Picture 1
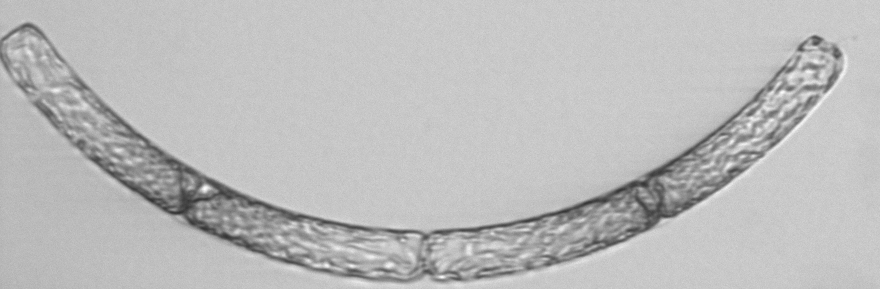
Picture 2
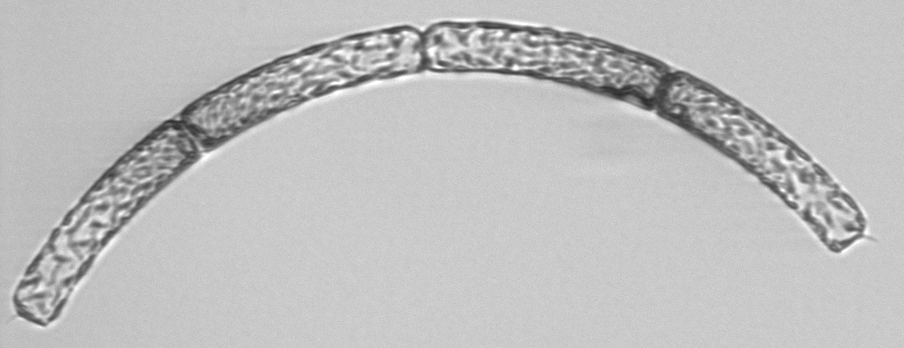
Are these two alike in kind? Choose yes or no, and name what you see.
Yes. Guinardia.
